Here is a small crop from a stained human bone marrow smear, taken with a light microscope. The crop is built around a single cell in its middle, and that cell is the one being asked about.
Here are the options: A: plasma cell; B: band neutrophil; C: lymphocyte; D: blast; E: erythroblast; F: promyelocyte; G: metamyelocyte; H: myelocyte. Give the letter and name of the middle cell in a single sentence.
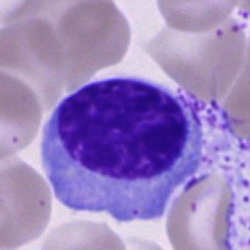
Option A is the correct one; it names the central cell as a plasma cell.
